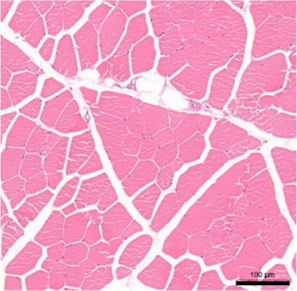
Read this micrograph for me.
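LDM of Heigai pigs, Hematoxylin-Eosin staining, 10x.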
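Here too the myofibers are cut across and show as pink, polygonal profiles with small dark nuclei at their borders. Narrow white clefts separate many of the individual fibers, and broader pale bands divide the bundles. Within one of the broad bands lie a few clear, rounded empty spaces.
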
